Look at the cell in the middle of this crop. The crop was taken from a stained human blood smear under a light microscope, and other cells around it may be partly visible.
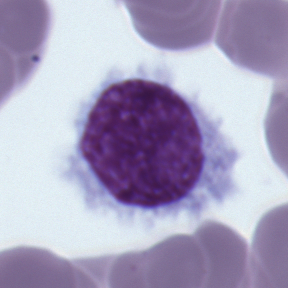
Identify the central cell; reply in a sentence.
Classified as a hairy cell is the cell in the middle of this crop.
